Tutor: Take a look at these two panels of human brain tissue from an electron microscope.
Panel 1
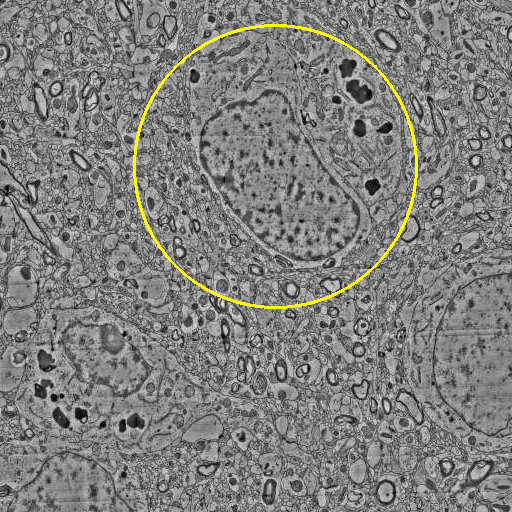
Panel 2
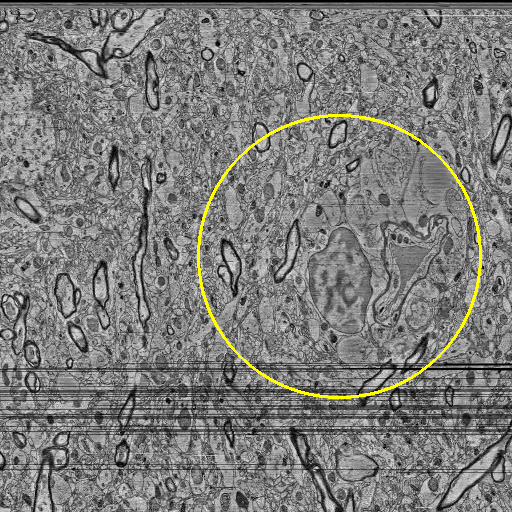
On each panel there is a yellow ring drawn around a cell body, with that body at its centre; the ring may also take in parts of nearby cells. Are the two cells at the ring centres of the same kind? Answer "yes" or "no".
yes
